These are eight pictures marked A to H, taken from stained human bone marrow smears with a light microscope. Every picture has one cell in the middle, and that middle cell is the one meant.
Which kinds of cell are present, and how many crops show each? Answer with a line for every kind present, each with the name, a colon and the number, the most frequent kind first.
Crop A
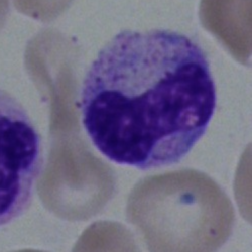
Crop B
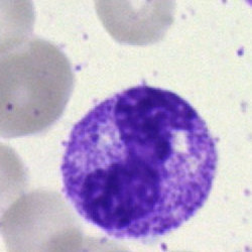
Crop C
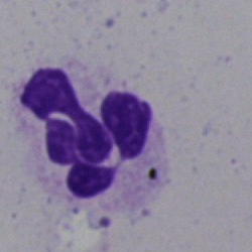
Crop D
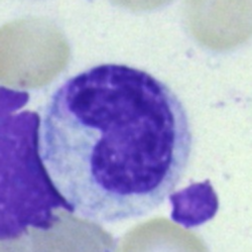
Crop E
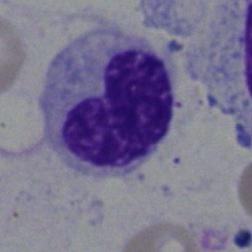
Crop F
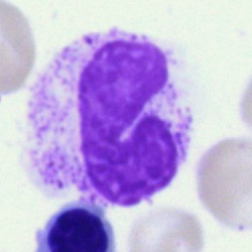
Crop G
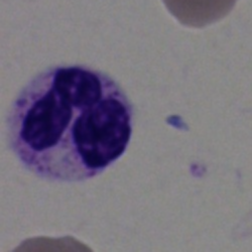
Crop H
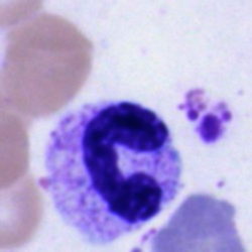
band neutrophil: 5
segmented neutrophil: 3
